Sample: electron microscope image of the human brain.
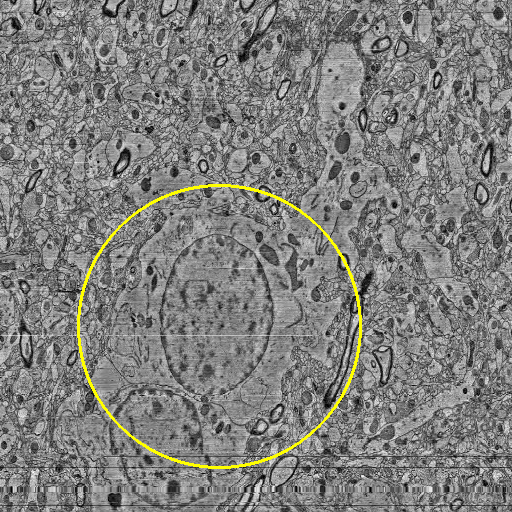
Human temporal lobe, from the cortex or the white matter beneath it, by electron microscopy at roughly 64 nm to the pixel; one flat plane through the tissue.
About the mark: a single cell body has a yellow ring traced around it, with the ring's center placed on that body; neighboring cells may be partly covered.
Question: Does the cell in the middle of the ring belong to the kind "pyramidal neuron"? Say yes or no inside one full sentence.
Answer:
No, the cell at the ring's center in this image belongs to a different kind.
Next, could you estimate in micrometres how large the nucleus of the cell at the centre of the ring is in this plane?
Approximately 11 micrometres long and 7 micrometres wide, so clearly longer than it is wide in this plane.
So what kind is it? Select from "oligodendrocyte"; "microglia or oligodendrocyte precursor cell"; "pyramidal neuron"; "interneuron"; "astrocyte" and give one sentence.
Here, the ring is centred on an astrocyte instead.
